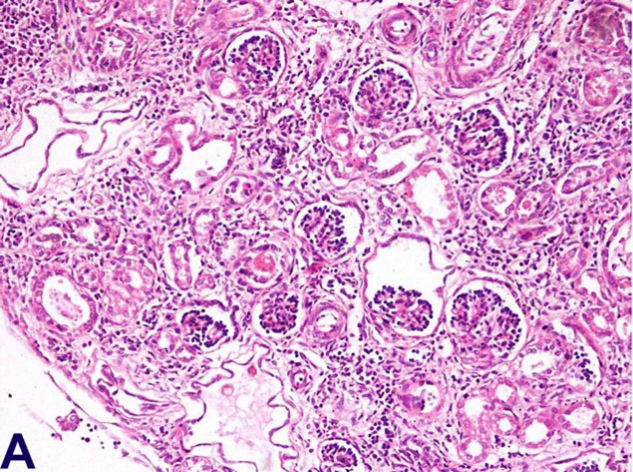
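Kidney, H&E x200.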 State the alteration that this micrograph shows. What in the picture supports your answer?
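Focal glomerulocystic change with dilated Bowman's space. Many glomeruli lie crowded together in the cortex. Several glomerular tufts are separated from their capsules by a clear, widened space. One glomerulus near the lower centre has a large empty space around a small tuft.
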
